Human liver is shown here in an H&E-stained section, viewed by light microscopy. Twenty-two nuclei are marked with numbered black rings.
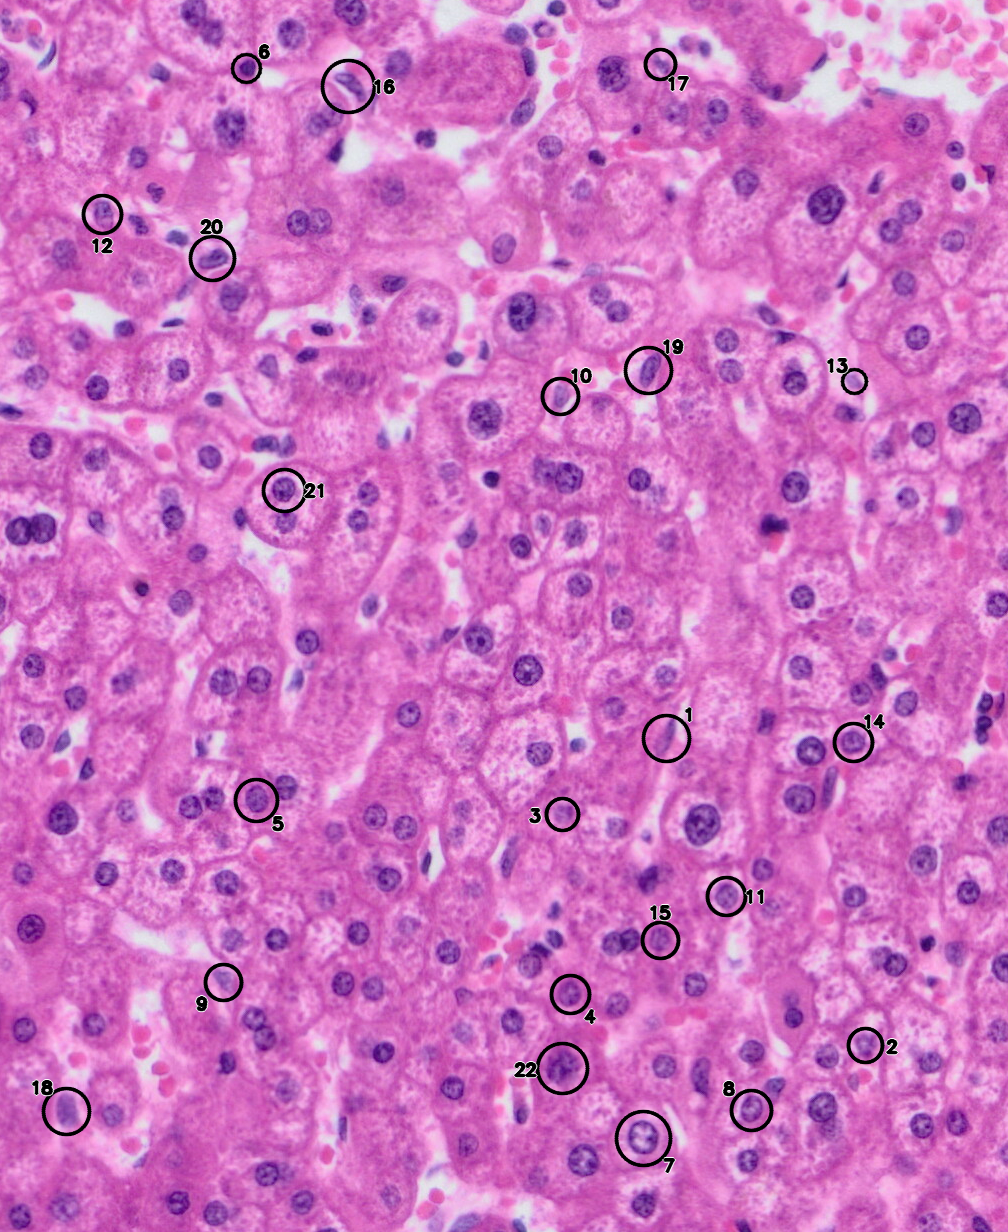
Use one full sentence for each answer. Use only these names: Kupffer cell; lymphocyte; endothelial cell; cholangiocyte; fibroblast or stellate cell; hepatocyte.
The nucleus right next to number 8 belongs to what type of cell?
It is an endothelial cell whose nucleus is nearest to number 8.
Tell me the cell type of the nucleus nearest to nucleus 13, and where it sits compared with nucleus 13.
Lying below nucleus 13, the nearest nucleus is that of a Kupffer cell.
